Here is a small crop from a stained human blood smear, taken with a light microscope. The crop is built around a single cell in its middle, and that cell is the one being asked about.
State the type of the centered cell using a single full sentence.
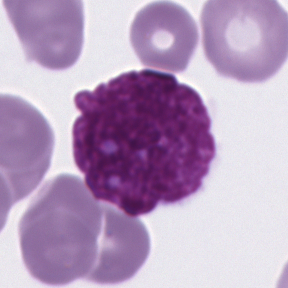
The cell sitting right in the middle is a smudge cell.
